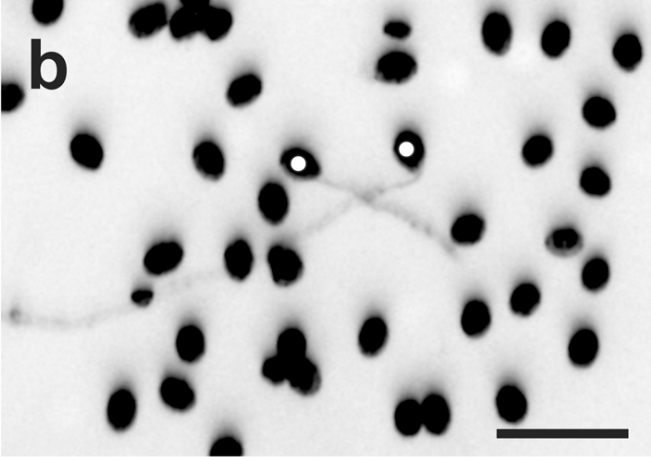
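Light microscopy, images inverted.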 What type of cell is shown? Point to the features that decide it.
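Pollen grains. Only a few of them carry a thin tube.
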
